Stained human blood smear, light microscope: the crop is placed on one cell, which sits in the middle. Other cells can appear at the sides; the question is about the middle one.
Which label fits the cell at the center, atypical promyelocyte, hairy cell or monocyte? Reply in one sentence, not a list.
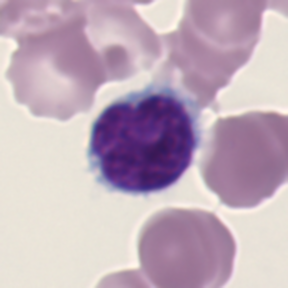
The crop centres on a single cell, and that cell is a hairy cell.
